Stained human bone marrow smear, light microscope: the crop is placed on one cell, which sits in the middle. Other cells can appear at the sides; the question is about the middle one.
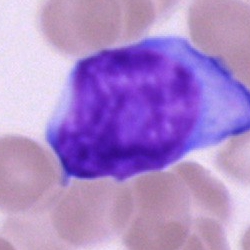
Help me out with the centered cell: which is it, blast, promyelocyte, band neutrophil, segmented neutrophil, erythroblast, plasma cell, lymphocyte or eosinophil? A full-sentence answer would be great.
The cell around which this crop is centred is a blast.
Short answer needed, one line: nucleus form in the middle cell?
The cell carries one compact nucleus shaped round, oval or like a kidney.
